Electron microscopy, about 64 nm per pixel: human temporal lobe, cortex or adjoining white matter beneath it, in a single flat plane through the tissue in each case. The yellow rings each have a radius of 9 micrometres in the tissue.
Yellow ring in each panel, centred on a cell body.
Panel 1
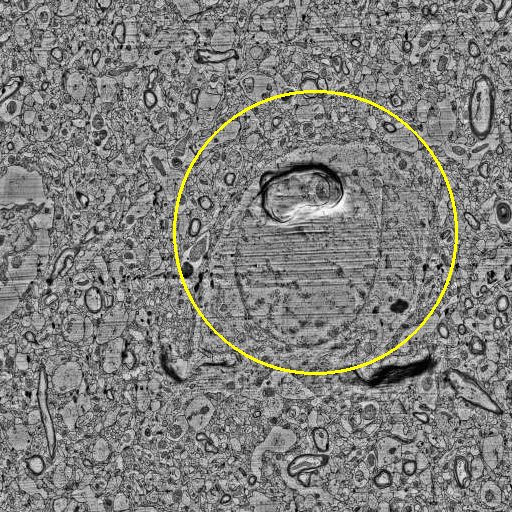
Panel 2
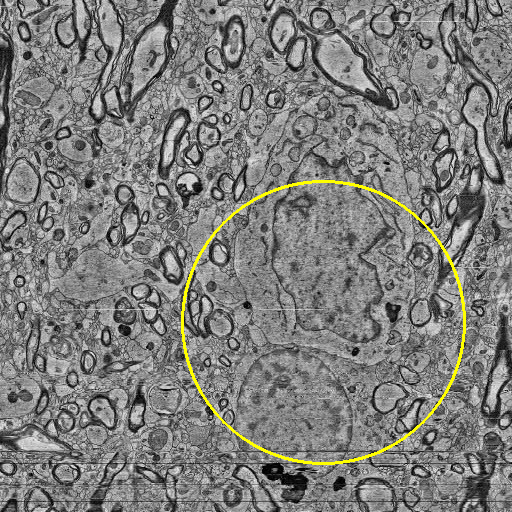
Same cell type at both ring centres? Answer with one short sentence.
Yes, both cells are of the same type.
